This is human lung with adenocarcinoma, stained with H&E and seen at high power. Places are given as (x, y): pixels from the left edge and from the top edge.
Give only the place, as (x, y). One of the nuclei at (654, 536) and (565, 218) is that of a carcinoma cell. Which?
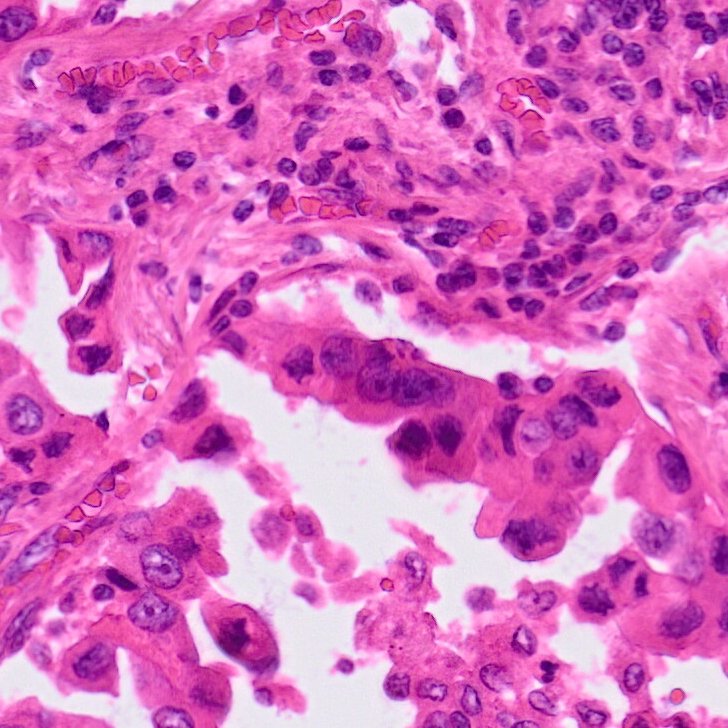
(654, 536)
